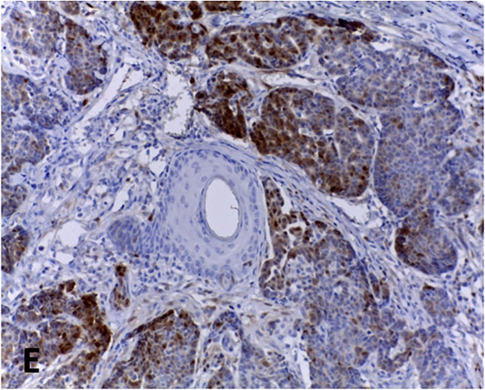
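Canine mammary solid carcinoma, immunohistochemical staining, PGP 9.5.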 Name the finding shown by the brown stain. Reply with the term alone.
Multifocal.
